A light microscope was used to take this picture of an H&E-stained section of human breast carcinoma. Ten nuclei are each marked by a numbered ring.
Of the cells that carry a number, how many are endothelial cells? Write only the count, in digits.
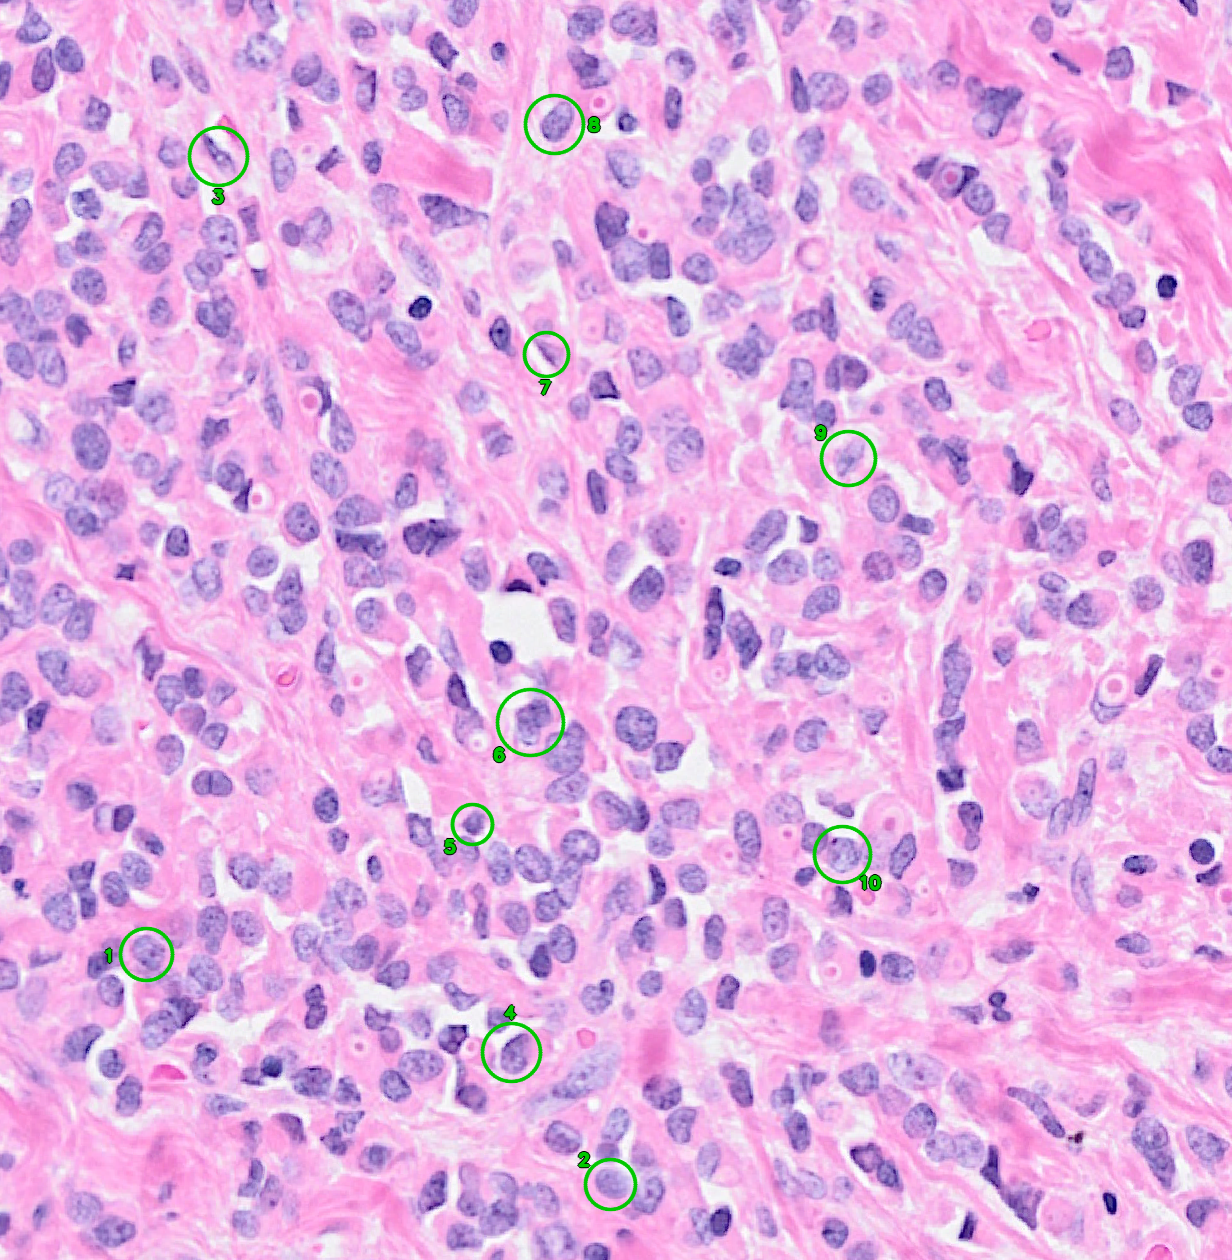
1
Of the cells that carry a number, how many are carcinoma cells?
6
